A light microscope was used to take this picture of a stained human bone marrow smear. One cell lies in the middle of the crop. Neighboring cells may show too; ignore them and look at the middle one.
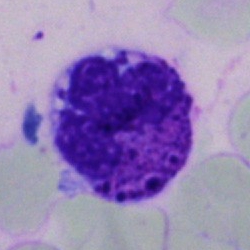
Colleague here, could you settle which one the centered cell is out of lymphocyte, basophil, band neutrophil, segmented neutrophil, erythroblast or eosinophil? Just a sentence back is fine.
The middle of this crop holds a basophil.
